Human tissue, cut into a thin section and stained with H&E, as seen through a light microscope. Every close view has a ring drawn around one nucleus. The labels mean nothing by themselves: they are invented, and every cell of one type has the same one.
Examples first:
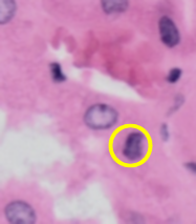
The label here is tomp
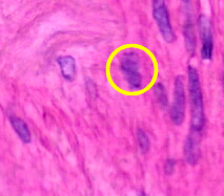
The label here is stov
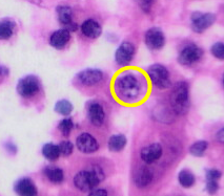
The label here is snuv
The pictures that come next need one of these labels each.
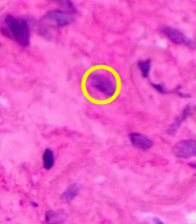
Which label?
stov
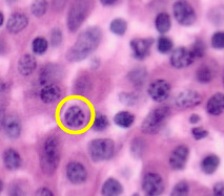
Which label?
snuv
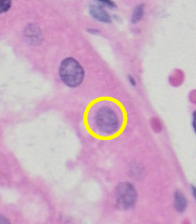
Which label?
tomp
